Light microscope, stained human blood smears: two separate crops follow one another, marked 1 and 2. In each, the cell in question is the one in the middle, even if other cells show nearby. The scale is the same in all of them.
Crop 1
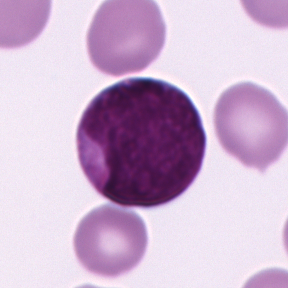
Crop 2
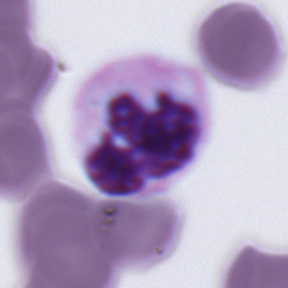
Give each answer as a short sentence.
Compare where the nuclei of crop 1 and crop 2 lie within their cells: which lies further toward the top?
In crop 1 the nucleus is shifted more toward the top.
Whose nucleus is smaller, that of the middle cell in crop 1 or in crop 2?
It is the nucleus in crop 2; the one in crop 1 has about 1.5 times its area.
